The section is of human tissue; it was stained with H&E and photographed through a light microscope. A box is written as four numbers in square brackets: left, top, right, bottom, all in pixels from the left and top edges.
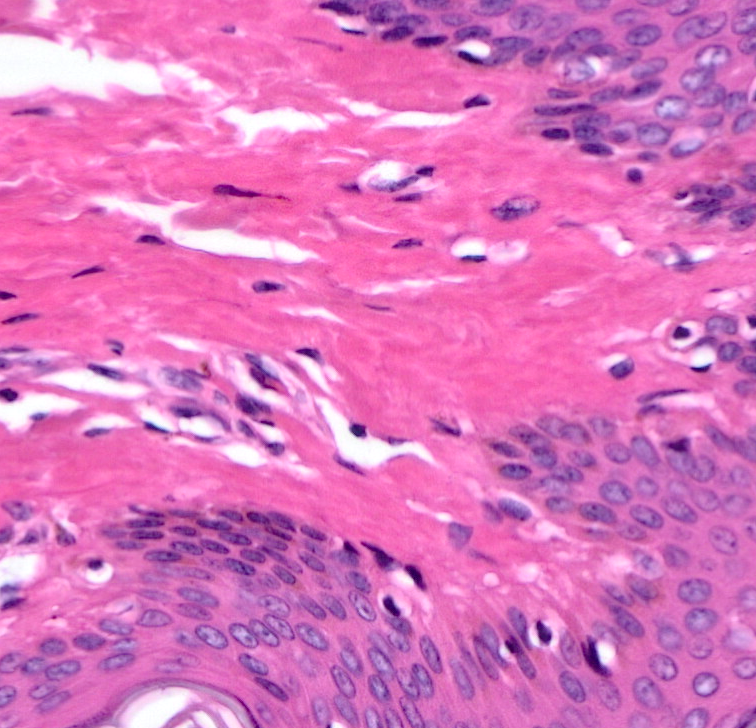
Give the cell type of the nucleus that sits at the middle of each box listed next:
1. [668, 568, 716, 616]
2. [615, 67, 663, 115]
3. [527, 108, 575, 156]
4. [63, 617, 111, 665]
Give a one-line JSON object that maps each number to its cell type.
{"1": "suprabasal keratinocyte", "2": "basal keratinocyte", "3": "basal keratinocyte", "4": "basal keratinocyte"}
